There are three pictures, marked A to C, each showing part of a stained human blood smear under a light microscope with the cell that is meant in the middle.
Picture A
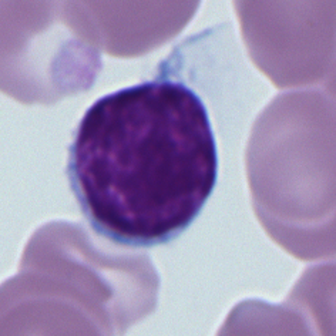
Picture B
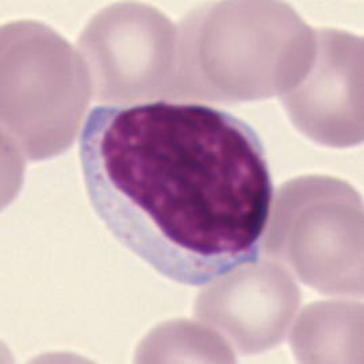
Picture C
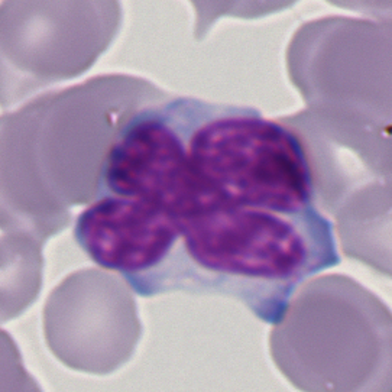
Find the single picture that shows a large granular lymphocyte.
B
